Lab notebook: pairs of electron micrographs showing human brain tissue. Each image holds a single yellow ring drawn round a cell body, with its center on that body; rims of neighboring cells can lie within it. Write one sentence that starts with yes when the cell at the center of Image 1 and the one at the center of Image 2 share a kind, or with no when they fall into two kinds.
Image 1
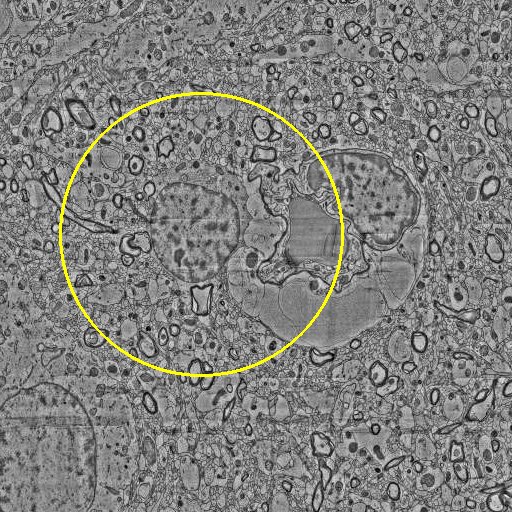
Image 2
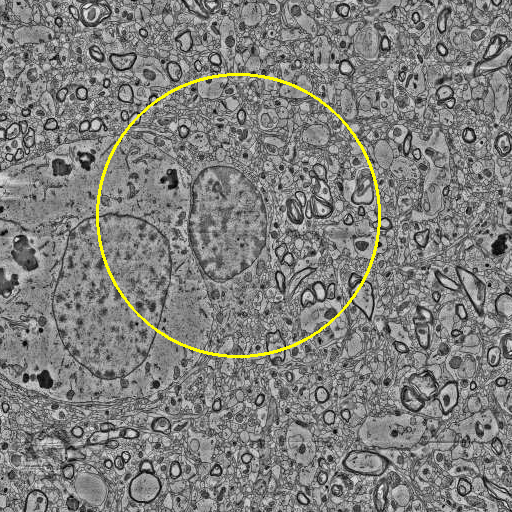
Yes, the centered cell in Image 1 and the centered cell in Image 2 are of one kind.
